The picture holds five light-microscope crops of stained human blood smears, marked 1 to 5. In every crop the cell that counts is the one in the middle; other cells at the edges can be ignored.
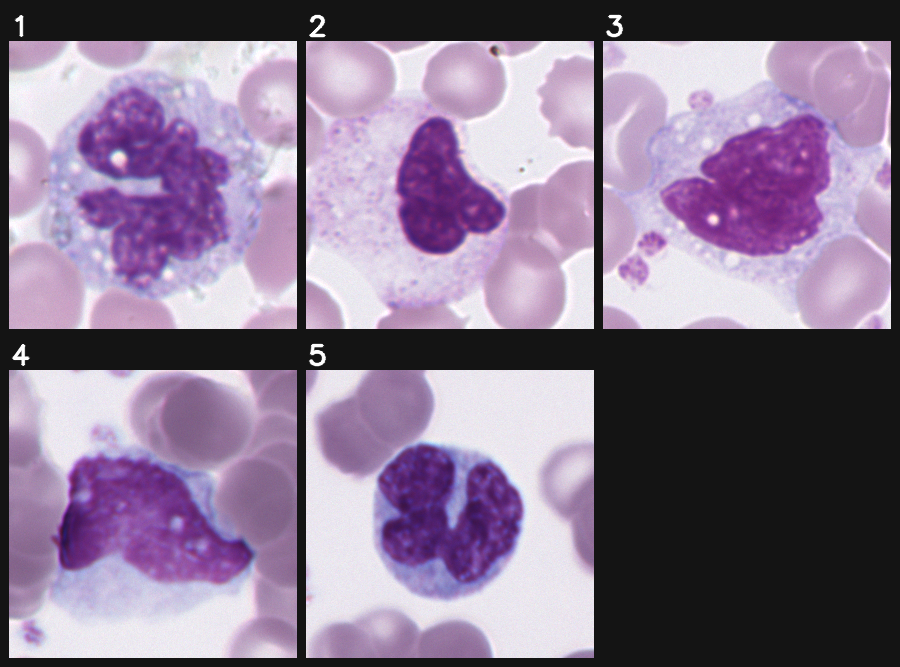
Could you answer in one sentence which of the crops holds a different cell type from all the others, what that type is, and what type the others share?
All the crops contain monocytes save crop 2, where there is a segmented neutrophil.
